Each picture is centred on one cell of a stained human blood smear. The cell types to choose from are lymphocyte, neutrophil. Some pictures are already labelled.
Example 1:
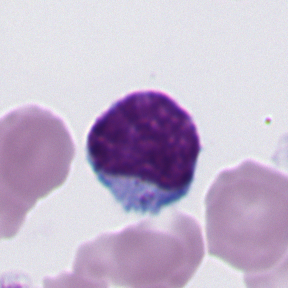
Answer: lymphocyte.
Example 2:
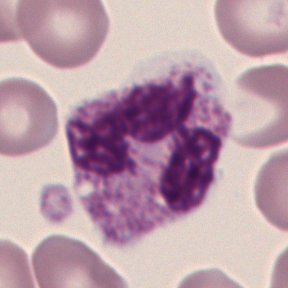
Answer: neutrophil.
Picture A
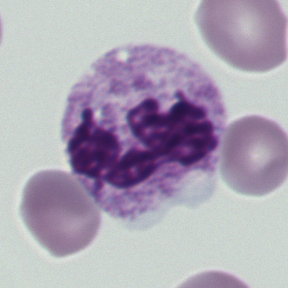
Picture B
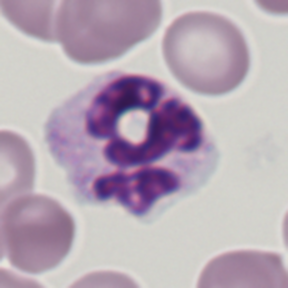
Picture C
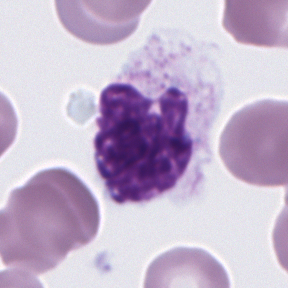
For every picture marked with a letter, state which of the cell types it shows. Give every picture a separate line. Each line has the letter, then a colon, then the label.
A: neutrophil.
B: neutrophil.
C: neutrophil.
